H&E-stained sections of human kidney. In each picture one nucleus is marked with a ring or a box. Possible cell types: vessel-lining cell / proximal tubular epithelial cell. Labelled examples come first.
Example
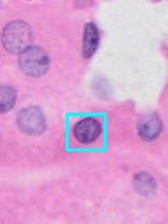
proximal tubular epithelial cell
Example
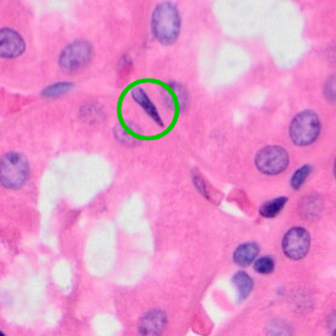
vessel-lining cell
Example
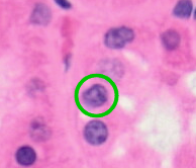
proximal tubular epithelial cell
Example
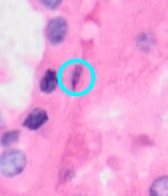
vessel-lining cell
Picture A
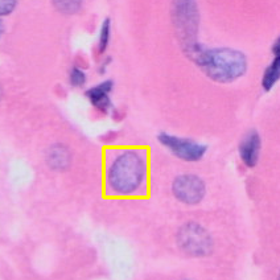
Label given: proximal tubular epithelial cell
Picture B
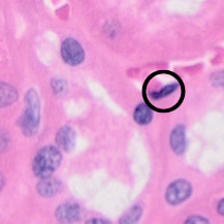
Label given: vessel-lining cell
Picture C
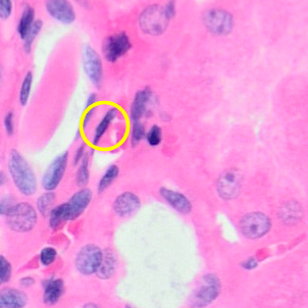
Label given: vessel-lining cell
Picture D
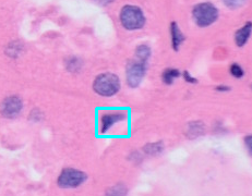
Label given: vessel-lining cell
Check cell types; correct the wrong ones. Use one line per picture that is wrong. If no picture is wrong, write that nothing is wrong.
Every label is right.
